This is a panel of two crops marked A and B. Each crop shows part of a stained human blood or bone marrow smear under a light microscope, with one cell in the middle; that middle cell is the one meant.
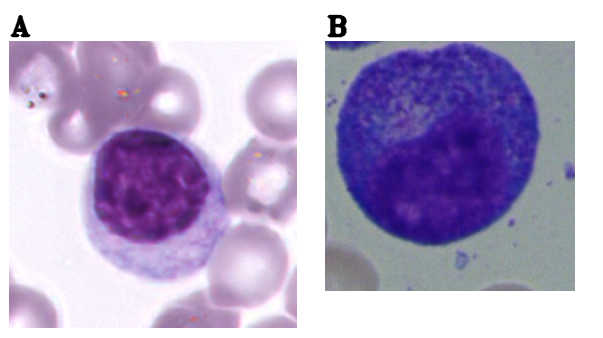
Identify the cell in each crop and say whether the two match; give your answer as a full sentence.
No, crop A shows a myelocyte and crop B shows a promyelocyte.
